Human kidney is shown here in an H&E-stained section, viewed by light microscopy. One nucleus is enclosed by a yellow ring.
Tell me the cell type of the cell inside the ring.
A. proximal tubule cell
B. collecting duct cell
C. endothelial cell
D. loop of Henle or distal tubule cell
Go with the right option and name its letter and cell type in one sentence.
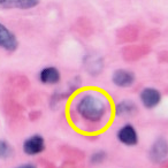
Hey, it is option C: the cell inside the ring is an endothelial cell.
